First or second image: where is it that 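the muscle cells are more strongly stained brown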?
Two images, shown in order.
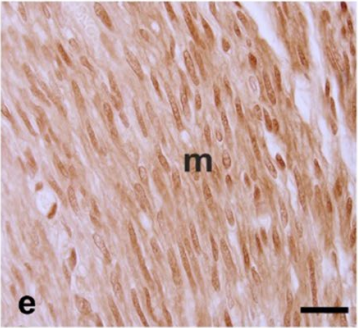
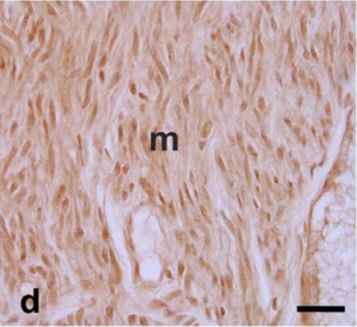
The first image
